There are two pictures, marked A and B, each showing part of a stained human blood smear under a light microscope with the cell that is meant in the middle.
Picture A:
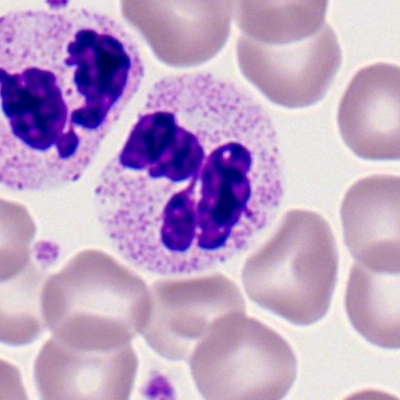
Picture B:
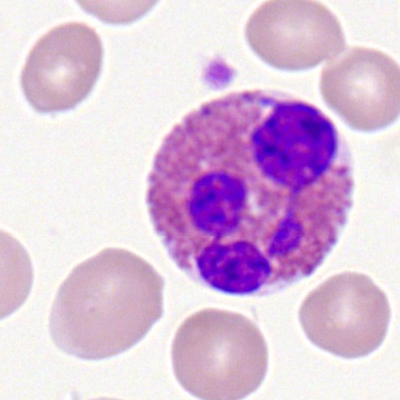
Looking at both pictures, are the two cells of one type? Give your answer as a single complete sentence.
No, the types are not the same, since picture A shows a segmented neutrophil and picture B an eosinophil.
